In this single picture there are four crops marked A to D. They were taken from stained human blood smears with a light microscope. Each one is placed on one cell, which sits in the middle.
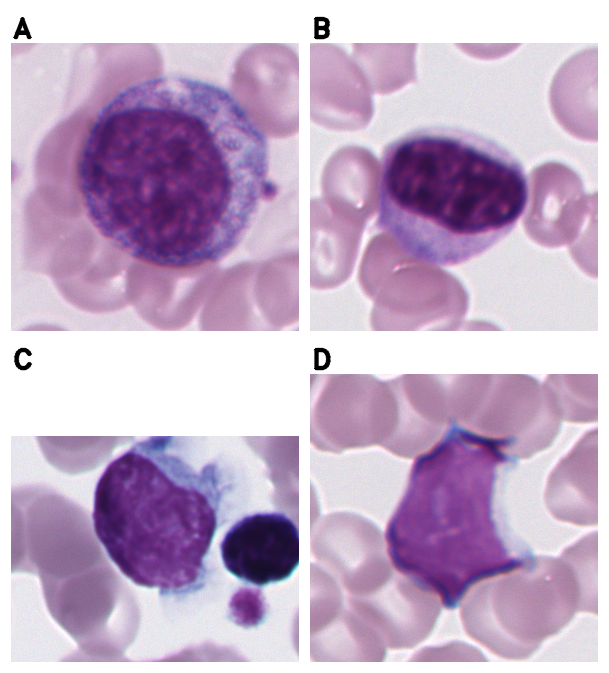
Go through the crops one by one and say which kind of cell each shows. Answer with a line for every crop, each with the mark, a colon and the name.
A: promyelocyte
B: metamyelocyte
C: typical lymphocyte
D: typical lymphocyte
